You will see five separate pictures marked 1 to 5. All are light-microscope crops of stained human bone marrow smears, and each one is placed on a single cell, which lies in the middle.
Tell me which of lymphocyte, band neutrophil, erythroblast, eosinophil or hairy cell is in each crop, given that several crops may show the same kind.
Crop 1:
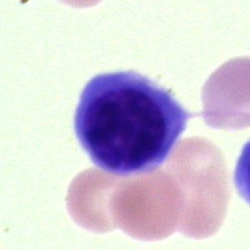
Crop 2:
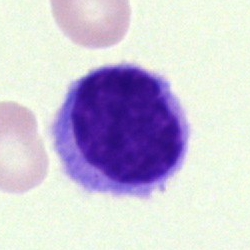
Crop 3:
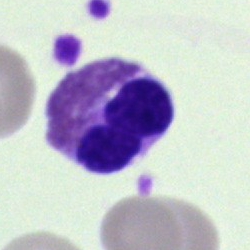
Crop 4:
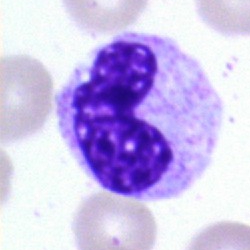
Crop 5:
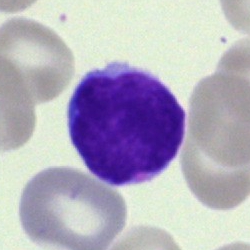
1: erythroblast
2: hairy cell
3: eosinophil
4: band neutrophil
5: lymphocyte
